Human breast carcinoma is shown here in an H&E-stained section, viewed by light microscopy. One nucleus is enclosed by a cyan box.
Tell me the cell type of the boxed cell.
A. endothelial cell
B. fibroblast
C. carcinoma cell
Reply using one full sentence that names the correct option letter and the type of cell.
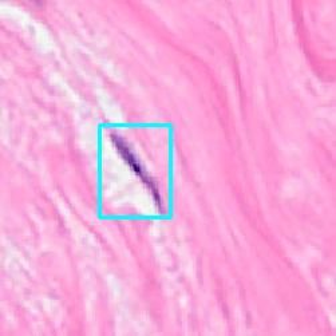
In this section the boxed cell is a fibroblast; option B is therefore correct.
